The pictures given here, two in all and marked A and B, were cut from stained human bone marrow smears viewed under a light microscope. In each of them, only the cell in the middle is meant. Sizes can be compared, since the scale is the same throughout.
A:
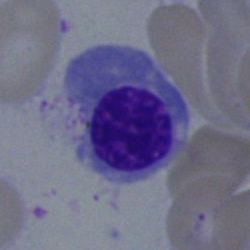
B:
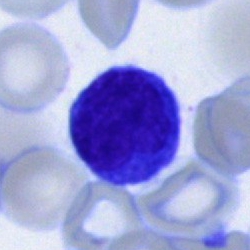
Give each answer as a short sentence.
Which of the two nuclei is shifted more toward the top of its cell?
In crop B the nucleus is shifted more toward the top.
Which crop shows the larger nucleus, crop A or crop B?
Larger is the nucleus in crop B, at roughly 2 times the area of the other.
